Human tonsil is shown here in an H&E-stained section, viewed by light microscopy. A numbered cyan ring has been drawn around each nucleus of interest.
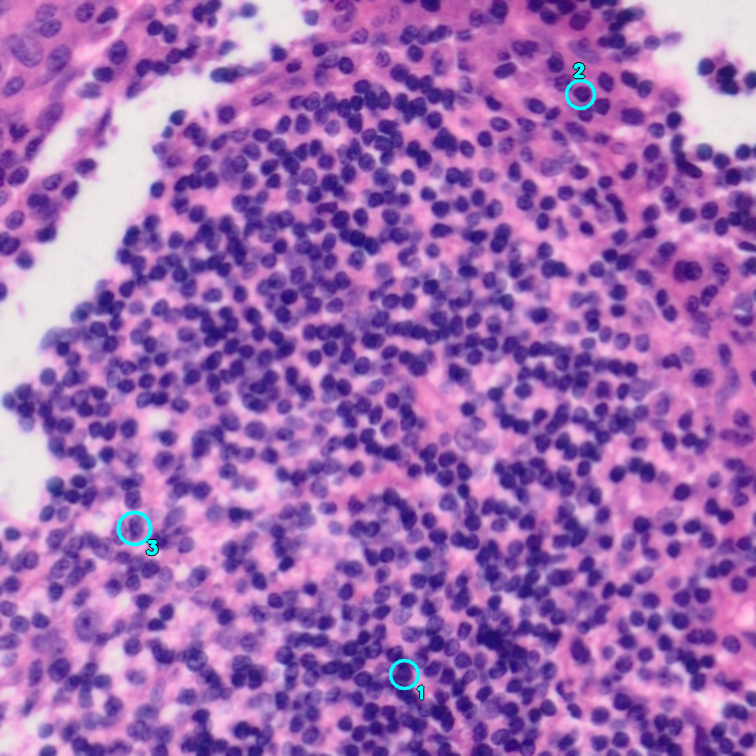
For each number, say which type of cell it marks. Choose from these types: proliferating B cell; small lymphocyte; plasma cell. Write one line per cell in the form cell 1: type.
cell 1: small lymphocyte
cell 2: plasma cell
cell 3: small lymphocyte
